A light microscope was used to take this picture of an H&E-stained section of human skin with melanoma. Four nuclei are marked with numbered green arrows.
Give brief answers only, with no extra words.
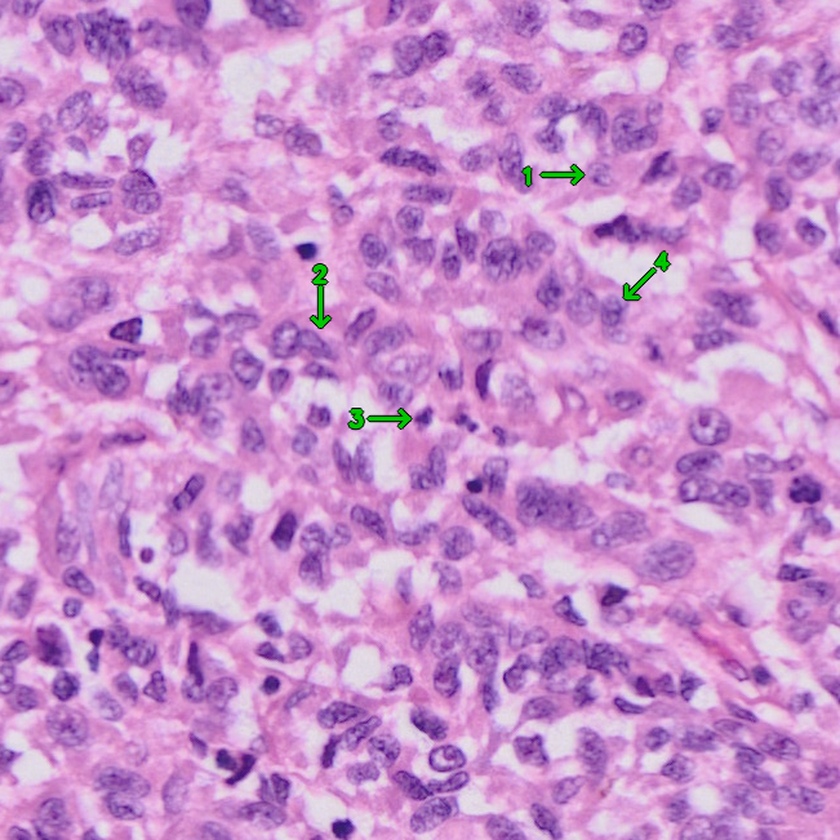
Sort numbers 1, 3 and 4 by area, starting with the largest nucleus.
4, 1, 3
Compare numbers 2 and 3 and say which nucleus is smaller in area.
3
